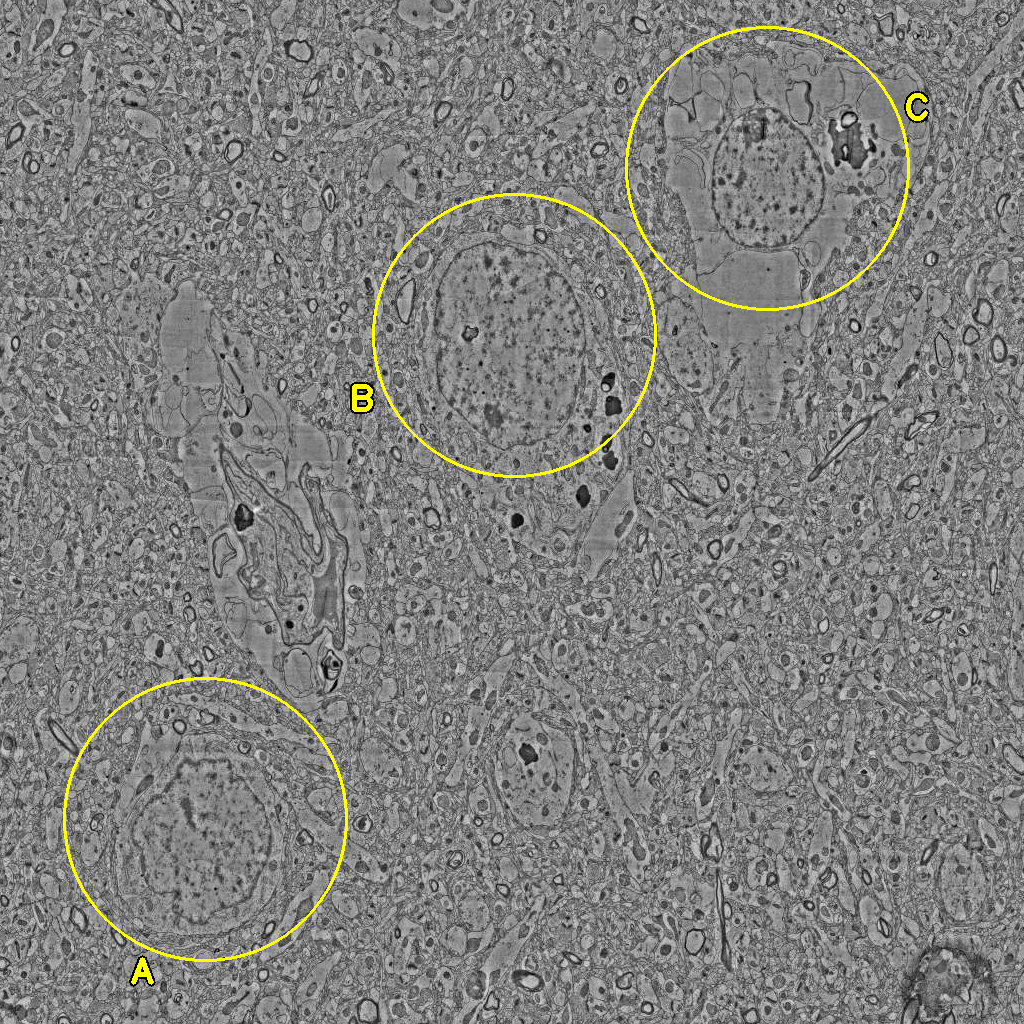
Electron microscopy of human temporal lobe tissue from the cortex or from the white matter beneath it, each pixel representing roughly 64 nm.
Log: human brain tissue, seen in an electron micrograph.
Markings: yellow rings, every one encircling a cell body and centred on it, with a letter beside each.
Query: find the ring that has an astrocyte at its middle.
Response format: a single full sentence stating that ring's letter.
The letter C marks the ring centred on the cell asked for in the image.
